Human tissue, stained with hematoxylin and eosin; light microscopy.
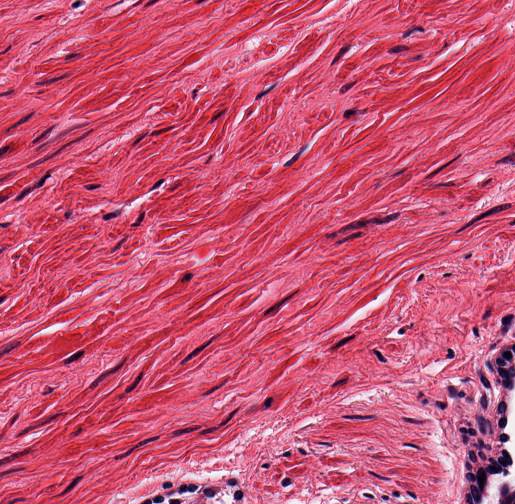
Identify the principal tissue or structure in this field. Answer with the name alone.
fibromuscular stroma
